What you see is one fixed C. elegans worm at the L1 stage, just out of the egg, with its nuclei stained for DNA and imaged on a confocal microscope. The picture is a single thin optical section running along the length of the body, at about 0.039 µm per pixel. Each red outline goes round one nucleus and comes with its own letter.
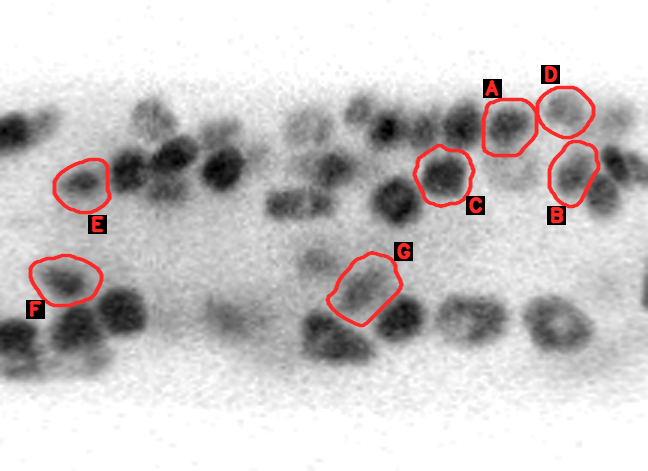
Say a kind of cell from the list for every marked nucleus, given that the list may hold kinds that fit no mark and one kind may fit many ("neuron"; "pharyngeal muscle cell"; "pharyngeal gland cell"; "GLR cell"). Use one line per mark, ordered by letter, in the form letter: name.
A: neuron
B: pharyngeal gland cell
C: neuron
D: neuron
E: GLR cell
F: GLR cell
G: pharyngeal muscle cell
